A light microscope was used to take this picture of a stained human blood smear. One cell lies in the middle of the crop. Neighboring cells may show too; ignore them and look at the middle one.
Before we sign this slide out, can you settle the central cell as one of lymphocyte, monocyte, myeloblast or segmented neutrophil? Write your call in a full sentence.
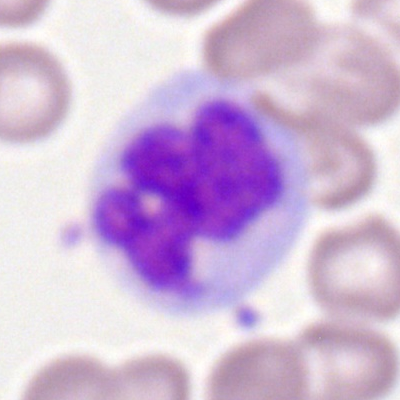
Classified as a monocyte is the cell in the middle of this crop.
